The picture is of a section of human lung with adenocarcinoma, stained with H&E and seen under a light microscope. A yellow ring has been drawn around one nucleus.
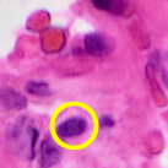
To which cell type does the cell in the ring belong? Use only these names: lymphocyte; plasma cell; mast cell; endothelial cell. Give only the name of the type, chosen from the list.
lymphocyte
